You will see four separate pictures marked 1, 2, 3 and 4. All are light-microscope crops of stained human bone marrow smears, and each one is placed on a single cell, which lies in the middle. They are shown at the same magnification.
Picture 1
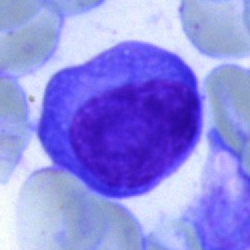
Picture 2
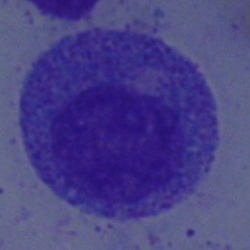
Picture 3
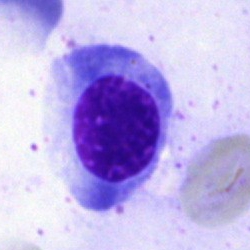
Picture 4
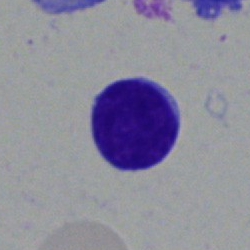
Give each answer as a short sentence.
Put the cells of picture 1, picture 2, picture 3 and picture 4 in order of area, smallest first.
The order is 4, 3, 1, 2, beginning with the smallest.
